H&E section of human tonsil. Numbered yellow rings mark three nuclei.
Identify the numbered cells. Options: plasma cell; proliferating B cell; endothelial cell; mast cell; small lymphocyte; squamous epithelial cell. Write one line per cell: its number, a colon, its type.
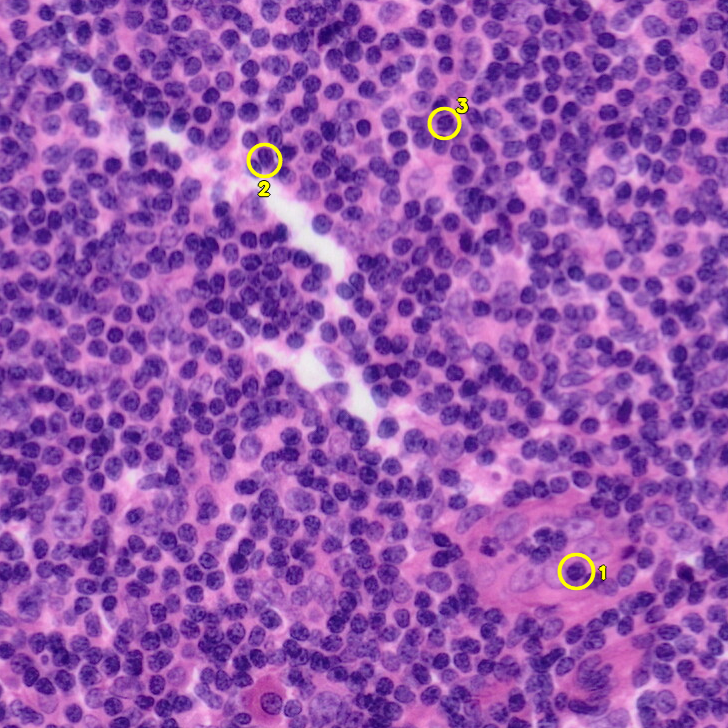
1: endothelial cell
2: small lymphocyte
3: small lymphocyte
